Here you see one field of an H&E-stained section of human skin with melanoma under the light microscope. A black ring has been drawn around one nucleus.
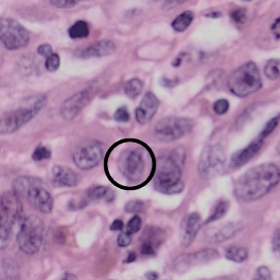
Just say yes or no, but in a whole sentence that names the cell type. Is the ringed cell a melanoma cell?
Yes, a melanoma cell is the identity of the ringed cell in this section.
